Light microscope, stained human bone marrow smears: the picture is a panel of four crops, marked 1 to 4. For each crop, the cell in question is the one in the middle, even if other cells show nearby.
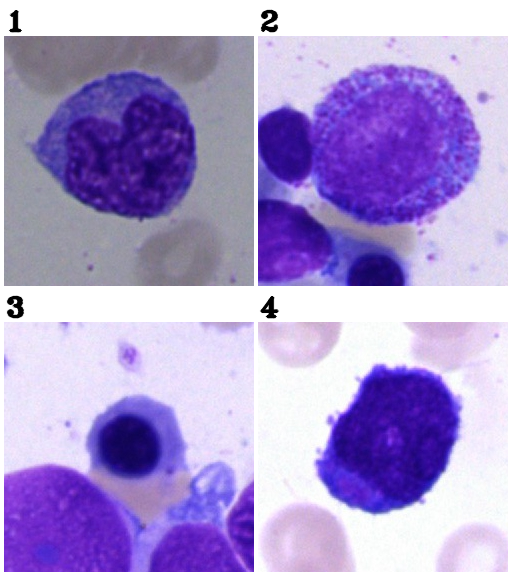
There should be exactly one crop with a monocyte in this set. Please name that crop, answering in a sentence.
Crop 1 is the one that shows a monocyte.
